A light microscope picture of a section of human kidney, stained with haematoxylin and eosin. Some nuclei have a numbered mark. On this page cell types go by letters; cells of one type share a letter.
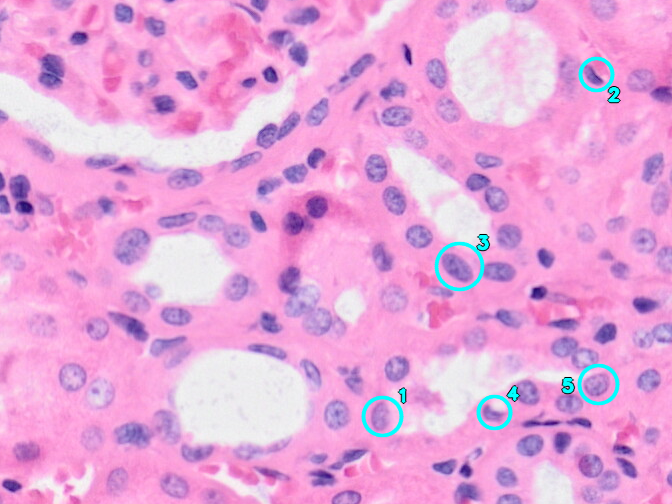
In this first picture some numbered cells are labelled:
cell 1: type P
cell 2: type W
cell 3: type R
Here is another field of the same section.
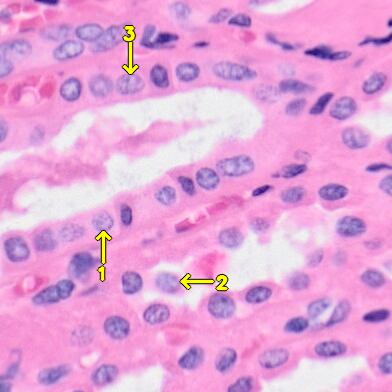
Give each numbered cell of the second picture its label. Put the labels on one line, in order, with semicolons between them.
type R; type P; type R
